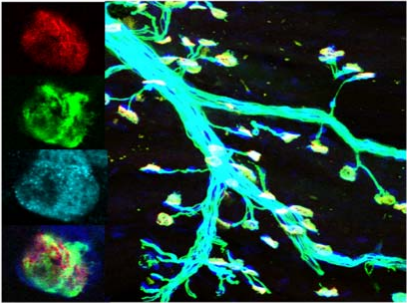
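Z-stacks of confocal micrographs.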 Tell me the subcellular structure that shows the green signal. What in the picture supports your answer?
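Green fibres run in thick bundles and branch into single fine fibres. Each fine green fibre ends in a small swollen, plaque-like ending. So: Nerve terminals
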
